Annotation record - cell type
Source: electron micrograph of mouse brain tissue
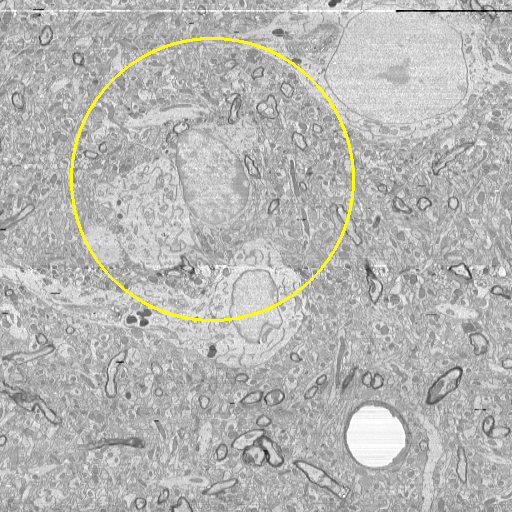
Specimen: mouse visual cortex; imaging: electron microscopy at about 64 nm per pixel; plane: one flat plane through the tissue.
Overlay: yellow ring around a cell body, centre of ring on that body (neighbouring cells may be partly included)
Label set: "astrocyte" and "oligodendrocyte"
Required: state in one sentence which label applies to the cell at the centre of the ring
This cell should be labelled as an oligodendrocyte.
